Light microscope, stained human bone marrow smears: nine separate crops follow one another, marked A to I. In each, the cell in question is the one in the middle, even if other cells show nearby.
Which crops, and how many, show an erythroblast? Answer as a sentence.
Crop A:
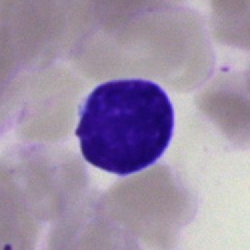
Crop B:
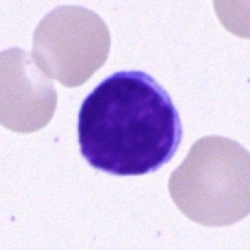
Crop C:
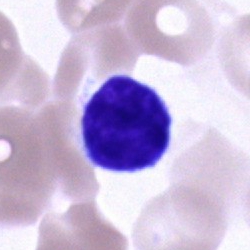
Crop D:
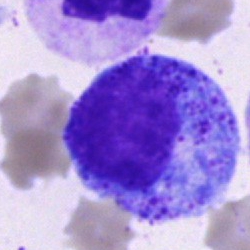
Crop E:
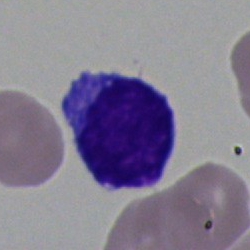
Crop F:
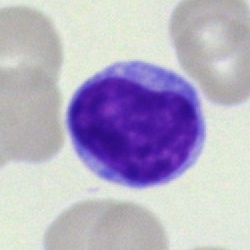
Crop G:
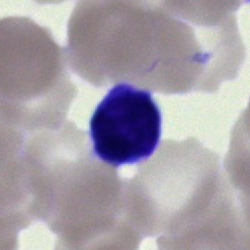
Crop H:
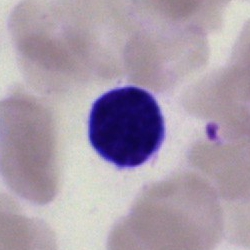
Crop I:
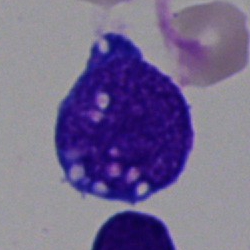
All of the crops are free of erythroblasts, so the count is zero.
